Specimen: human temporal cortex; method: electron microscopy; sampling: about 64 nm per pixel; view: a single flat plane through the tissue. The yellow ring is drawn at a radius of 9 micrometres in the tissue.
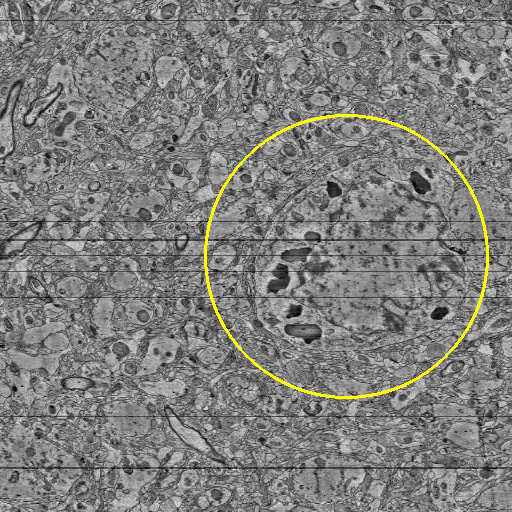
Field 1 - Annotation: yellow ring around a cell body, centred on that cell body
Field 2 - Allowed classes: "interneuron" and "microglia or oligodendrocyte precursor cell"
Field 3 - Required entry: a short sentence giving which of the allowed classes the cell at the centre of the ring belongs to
The centred cell is an interneuron.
